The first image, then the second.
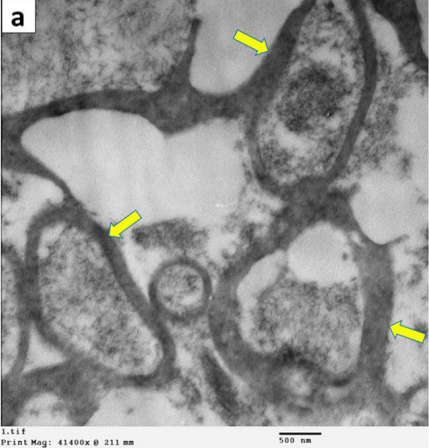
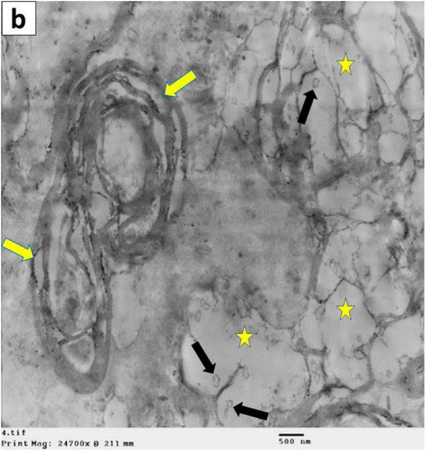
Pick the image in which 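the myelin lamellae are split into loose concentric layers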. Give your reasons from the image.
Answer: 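The second image. Second image: myelin around fibres is separated into several loose concentric layers. First image: myelin forms thick, solid dark rings without separation.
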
